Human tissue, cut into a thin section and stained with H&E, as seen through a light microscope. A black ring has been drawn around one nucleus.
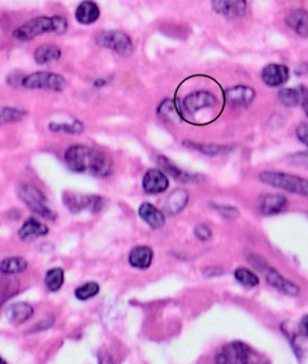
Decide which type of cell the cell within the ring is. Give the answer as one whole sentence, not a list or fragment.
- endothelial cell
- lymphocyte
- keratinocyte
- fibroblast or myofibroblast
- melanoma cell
It is an endothelial cell that the cell within the ring represents.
